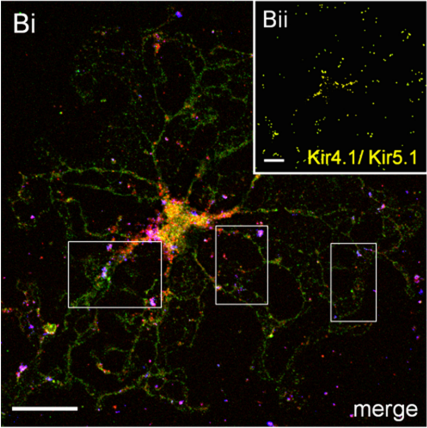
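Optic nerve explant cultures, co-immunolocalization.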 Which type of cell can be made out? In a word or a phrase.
Oligodendrocytes.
